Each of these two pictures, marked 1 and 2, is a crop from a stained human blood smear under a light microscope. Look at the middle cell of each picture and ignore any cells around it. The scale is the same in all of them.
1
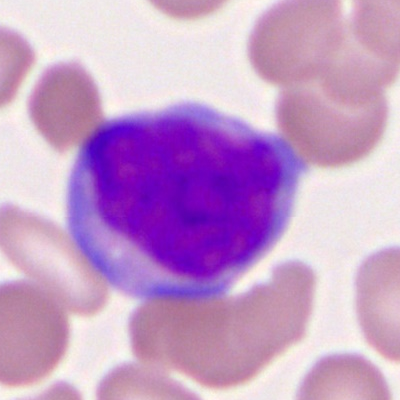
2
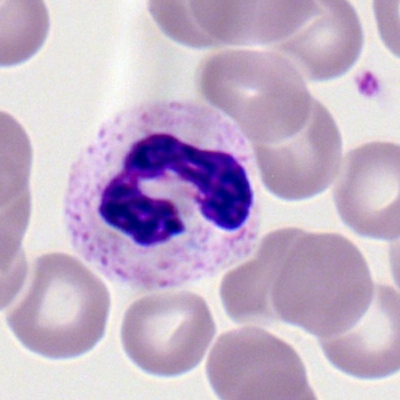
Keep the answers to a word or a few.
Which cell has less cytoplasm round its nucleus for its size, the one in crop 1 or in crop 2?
1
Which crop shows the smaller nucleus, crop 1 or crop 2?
2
